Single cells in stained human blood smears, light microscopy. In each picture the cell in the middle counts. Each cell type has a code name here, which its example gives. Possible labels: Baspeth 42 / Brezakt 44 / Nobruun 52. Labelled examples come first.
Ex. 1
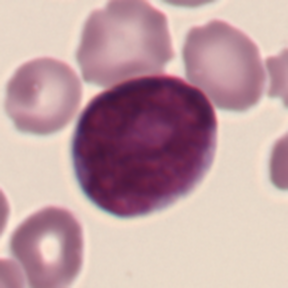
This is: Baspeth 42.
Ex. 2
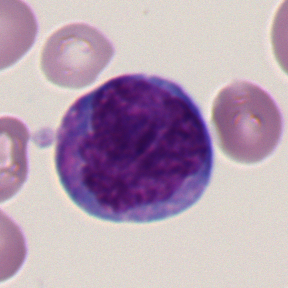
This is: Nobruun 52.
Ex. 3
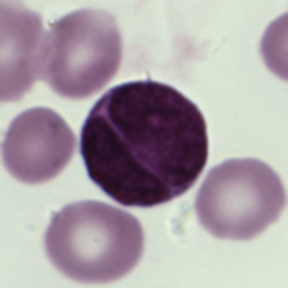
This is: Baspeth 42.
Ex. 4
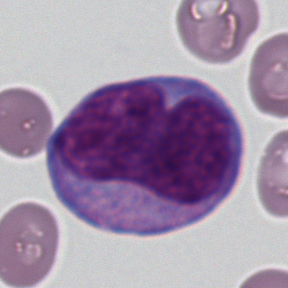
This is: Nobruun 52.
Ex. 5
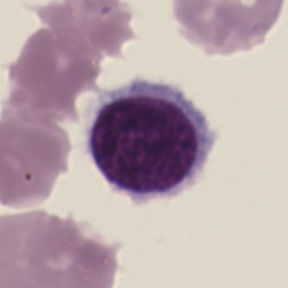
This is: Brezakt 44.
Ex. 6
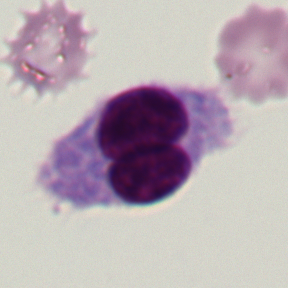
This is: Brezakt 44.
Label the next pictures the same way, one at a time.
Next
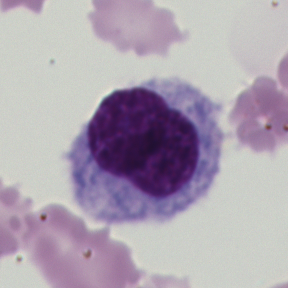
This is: Brezakt 44.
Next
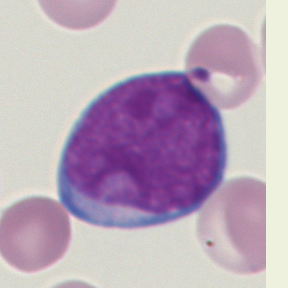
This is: Baspeth 42.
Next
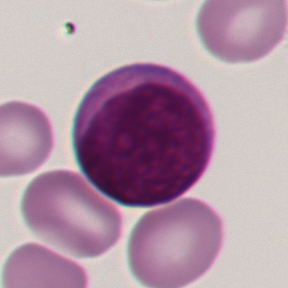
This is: Baspeth 42.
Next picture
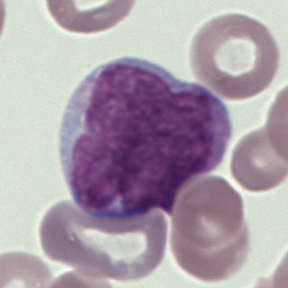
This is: Nobruun 52.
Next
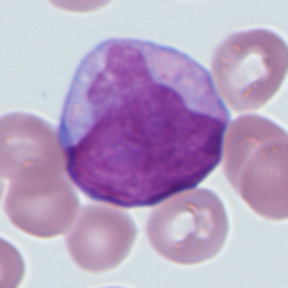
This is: Nobruun 52.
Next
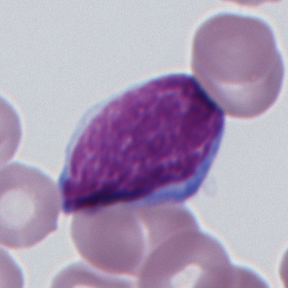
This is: Baspeth 42.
